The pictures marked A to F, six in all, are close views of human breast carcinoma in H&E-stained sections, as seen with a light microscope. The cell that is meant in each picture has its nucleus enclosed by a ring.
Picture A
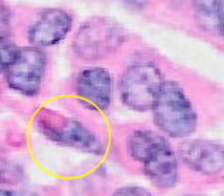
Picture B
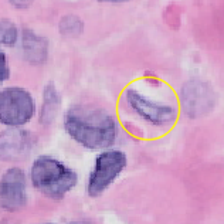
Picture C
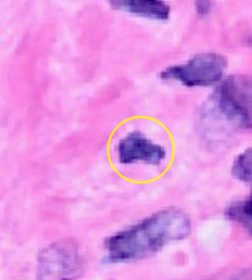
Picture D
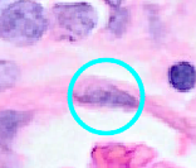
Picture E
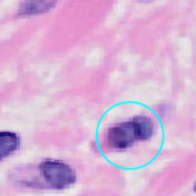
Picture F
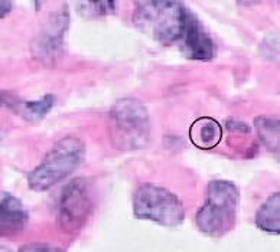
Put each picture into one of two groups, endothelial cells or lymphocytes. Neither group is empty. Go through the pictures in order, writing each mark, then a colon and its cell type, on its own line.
A: endothelial cell
B: endothelial cell
C: lymphocyte
D: endothelial cell
E: lymphocyte
F: endothelial cell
